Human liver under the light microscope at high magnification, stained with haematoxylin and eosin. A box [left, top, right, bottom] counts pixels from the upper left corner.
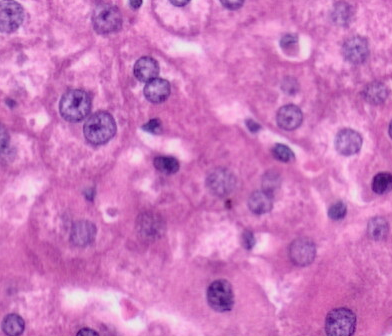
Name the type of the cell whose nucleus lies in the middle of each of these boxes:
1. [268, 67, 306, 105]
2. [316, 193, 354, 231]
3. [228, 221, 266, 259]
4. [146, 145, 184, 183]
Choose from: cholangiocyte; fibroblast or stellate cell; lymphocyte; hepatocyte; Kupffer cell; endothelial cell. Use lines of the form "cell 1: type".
cell 1: hepatocyte
cell 2: Kupffer cell
cell 3: endothelial cell
cell 4: Kupffer cell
